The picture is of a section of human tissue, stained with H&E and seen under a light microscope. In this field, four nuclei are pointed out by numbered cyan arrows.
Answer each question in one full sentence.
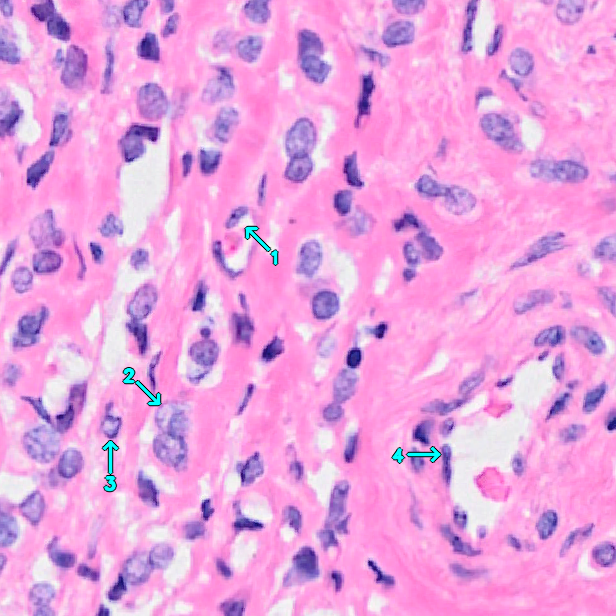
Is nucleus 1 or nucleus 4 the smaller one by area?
With nucleus 1 about 1.5 times its size, nucleus 4 is the smaller of the two.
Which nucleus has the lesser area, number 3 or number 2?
Nucleus 3 covers less area, with nucleus 2 about 2.5 times as large.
